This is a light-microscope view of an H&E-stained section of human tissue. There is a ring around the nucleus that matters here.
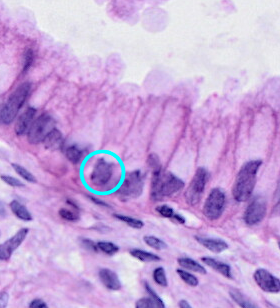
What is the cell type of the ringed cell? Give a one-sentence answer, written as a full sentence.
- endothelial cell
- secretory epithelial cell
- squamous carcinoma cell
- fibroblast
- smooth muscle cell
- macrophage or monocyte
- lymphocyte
At the level of cell identity, the ringed cell is a secretory epithelial cell.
